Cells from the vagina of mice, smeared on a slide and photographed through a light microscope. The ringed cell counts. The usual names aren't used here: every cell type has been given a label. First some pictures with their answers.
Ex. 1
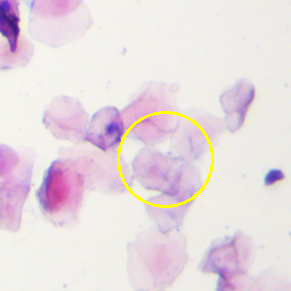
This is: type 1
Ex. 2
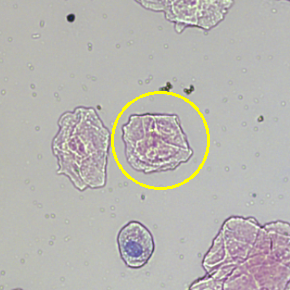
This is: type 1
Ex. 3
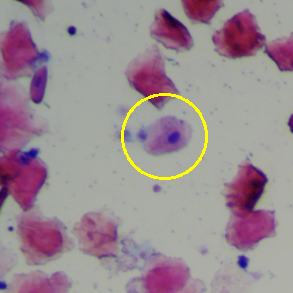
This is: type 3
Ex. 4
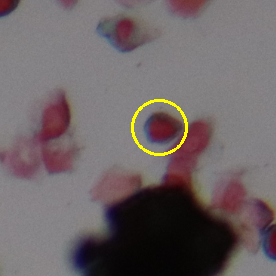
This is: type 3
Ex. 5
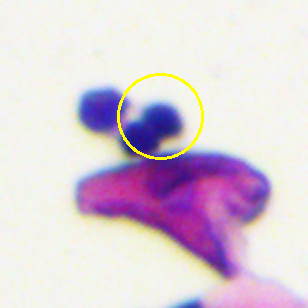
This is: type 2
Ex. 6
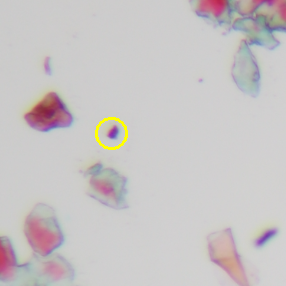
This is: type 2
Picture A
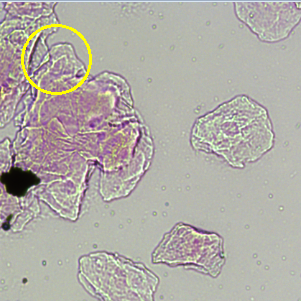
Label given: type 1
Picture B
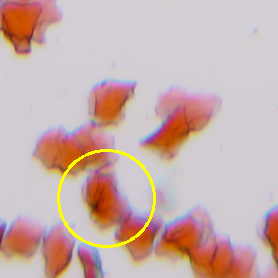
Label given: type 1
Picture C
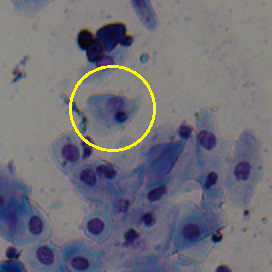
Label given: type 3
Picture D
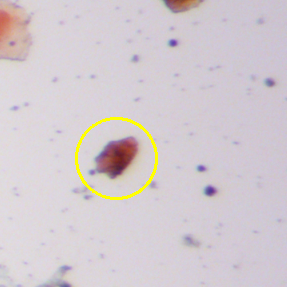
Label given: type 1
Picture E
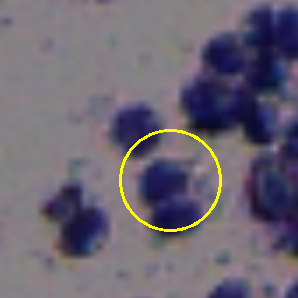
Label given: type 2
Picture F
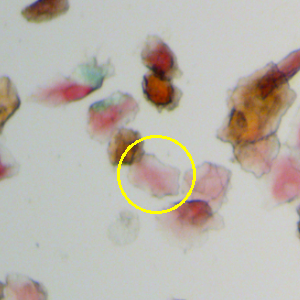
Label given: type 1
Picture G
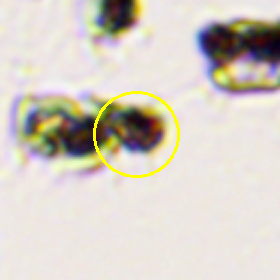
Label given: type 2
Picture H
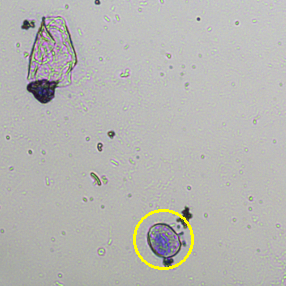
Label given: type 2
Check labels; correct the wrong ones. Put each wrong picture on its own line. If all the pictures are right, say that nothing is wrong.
H: change type 2 to type 3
